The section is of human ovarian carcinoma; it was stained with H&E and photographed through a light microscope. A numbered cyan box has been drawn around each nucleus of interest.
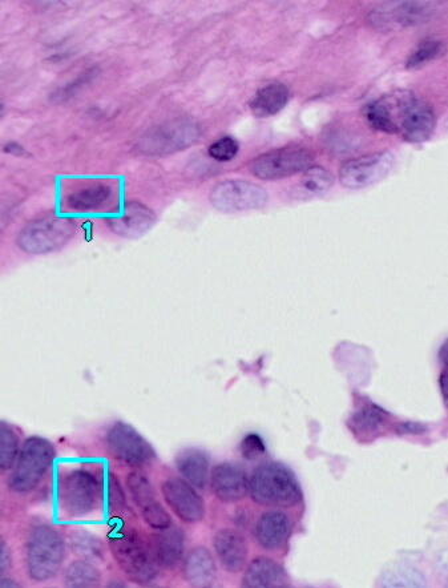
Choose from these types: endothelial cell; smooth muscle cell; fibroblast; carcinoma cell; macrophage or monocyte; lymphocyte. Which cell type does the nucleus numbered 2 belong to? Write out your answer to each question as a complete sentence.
Denoted by the label 2 in the section is a carcinoma cell.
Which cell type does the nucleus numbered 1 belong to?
The cell tagged with 1 in this tissue section is a macrophage or monocyte.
